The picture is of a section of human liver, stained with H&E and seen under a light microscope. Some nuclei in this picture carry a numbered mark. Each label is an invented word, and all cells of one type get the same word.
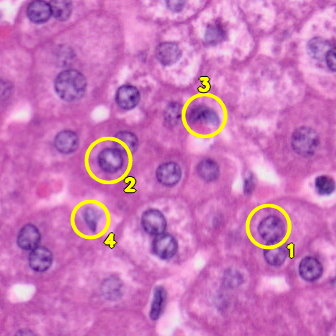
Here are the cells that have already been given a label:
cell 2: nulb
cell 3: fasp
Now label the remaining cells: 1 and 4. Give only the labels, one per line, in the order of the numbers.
nulb
fasp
